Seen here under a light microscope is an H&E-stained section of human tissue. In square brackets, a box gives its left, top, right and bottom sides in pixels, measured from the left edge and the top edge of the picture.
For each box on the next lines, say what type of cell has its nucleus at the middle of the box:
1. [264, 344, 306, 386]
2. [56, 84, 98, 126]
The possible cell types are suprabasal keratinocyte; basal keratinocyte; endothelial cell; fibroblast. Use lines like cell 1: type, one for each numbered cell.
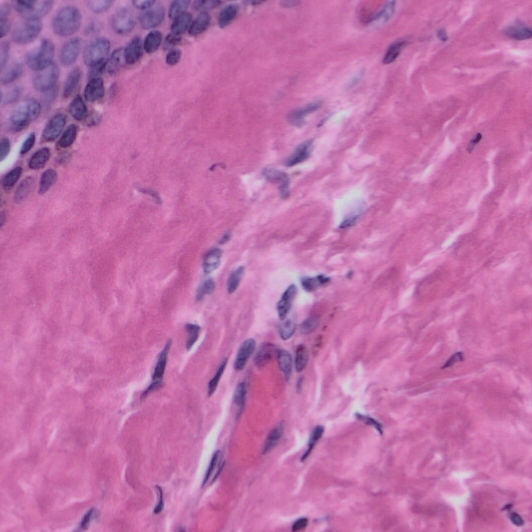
cell 1: endothelial cell
cell 2: basal keratinocyte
